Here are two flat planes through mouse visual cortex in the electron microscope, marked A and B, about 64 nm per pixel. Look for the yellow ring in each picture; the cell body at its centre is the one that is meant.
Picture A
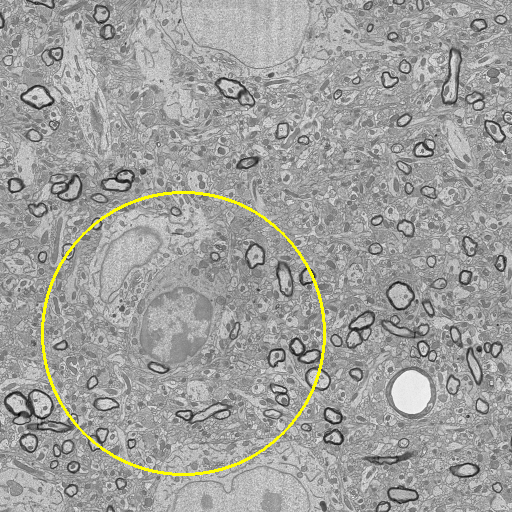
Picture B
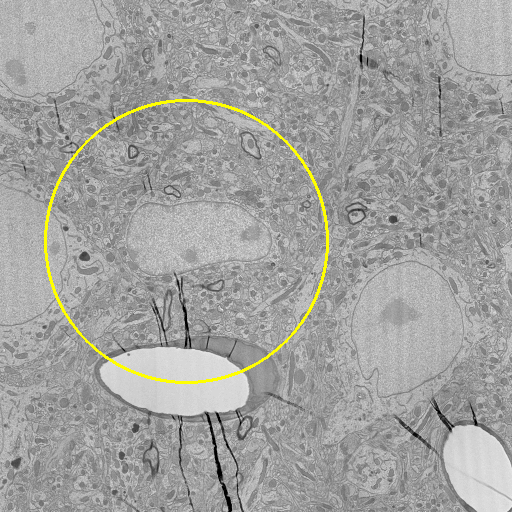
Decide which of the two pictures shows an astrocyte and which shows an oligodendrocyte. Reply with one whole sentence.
The cell in picture A is an oligodendrocyte, and the one in picture B is an astrocyte.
